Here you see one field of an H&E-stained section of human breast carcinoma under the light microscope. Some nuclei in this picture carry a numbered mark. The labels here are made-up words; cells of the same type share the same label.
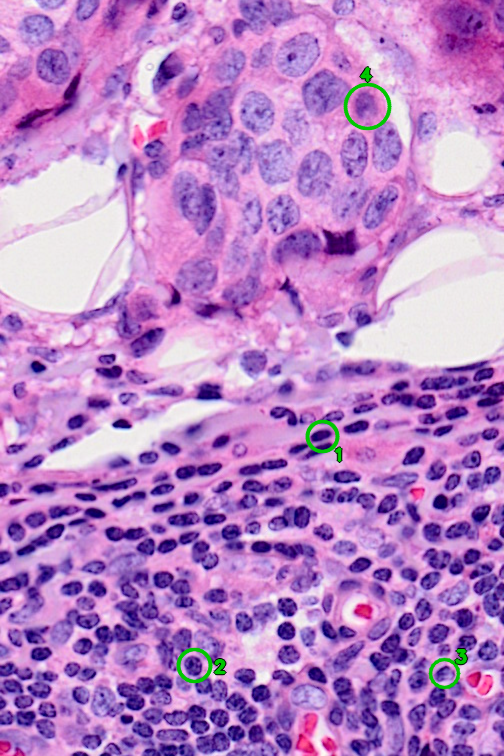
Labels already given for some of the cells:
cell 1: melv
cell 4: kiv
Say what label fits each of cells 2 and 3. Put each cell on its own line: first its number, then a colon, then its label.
2: melv
3: melv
